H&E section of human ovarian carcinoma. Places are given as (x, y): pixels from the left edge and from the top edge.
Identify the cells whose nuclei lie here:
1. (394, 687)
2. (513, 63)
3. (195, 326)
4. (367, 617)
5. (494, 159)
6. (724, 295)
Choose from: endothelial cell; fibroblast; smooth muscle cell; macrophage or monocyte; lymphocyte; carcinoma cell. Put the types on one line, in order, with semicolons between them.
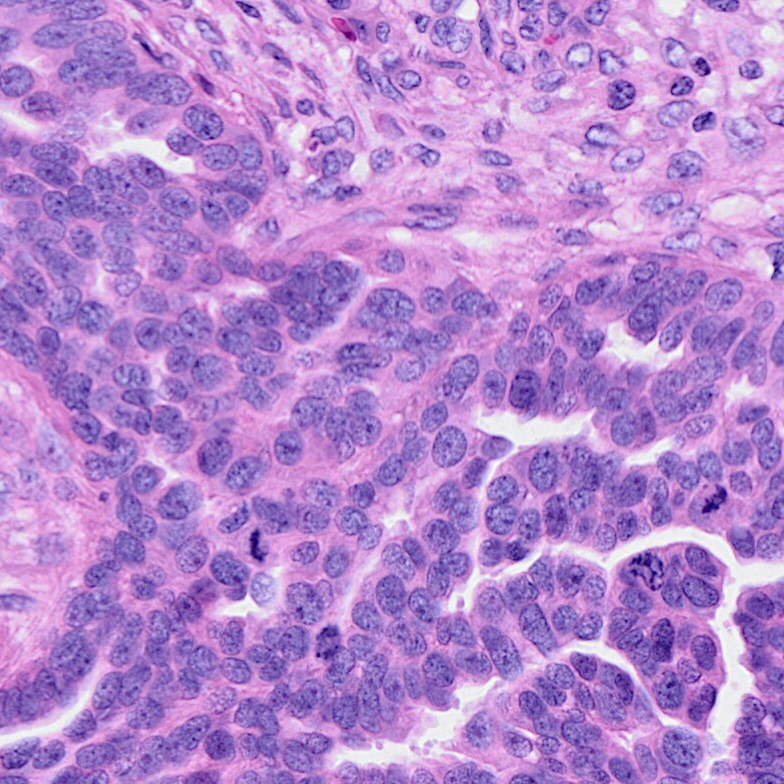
carcinoma cell; fibroblast; carcinoma cell; carcinoma cell; fibroblast; carcinoma cell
